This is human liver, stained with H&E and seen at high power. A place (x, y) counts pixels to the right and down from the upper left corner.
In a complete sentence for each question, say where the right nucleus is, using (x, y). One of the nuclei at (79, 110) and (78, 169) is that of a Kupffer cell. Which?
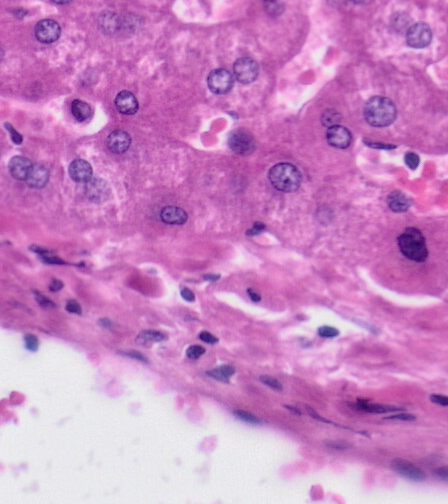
Among the two nuclei, the one lying at (79, 110) is part of a Kupffer cell.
